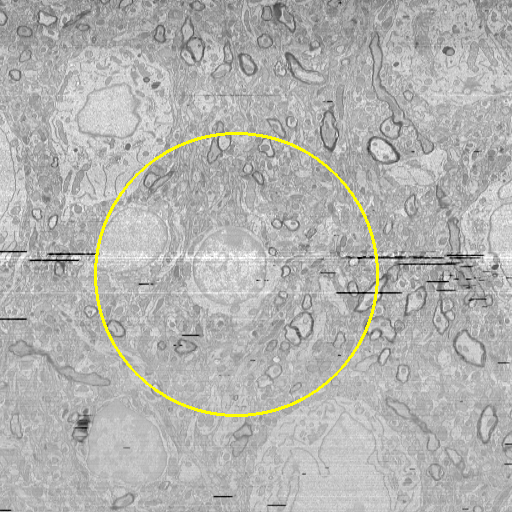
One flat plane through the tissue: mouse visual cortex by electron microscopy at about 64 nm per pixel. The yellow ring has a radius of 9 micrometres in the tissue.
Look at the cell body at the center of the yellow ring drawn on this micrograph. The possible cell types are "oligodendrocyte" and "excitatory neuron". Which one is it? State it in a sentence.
The cell in the middle of the ring is an oligodendrocyte.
